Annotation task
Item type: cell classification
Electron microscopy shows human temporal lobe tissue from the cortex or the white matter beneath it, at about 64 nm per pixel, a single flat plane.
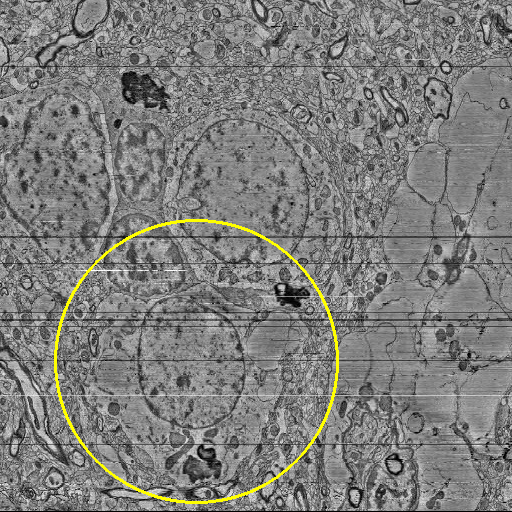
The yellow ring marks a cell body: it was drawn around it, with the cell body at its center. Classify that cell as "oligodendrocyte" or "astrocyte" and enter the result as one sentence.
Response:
The ring's center falls on an astrocyte.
